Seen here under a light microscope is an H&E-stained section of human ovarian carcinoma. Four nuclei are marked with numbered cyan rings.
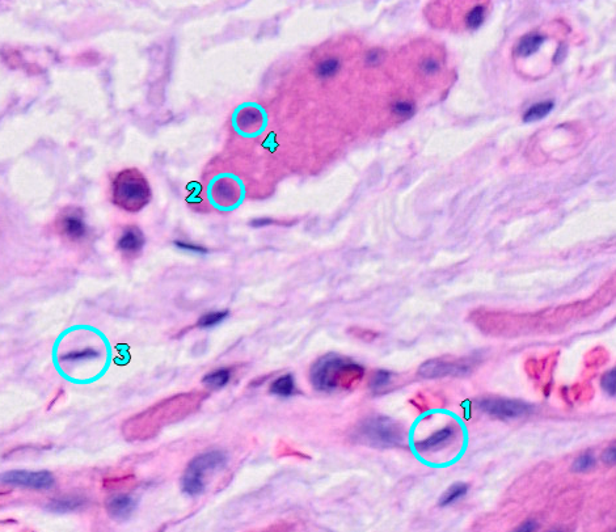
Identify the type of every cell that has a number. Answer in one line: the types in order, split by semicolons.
endothelial cell; smooth muscle cell; fibroblast; smooth muscle cell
